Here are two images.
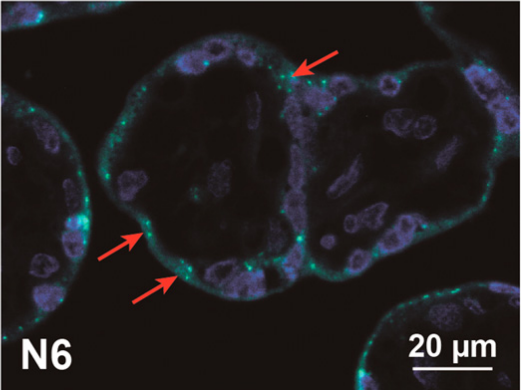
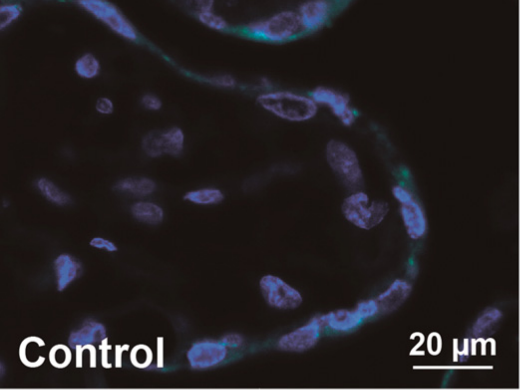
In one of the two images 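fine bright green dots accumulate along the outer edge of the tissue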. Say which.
The first image.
